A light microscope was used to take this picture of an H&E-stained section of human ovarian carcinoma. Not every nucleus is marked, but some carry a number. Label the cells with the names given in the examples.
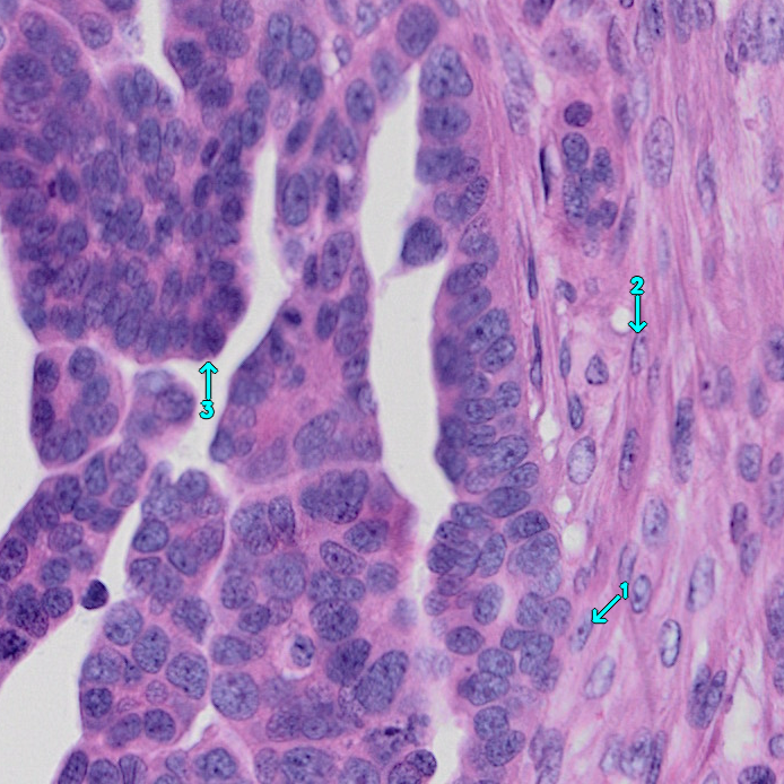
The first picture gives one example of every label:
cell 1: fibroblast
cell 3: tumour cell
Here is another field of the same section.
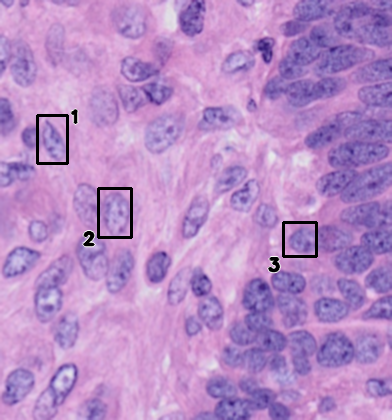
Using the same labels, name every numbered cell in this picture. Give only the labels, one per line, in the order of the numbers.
fibroblast
fibroblast
tumour cell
